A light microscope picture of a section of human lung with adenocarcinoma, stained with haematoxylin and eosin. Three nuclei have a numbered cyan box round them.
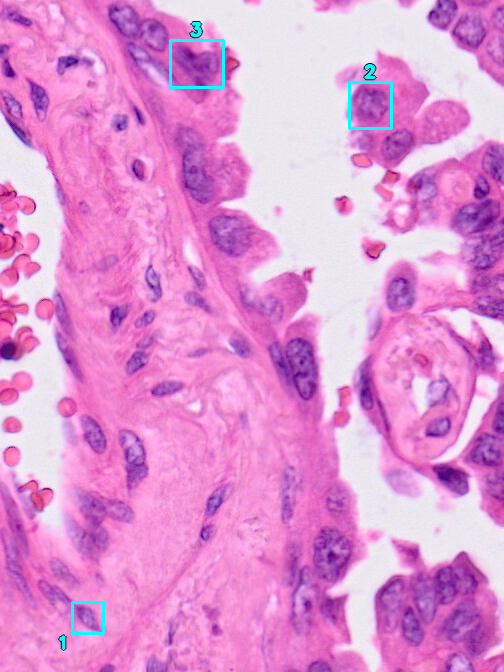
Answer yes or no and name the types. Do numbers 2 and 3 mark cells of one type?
Yes, the cells numbered 2 and 3 are both carcinoma cells.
